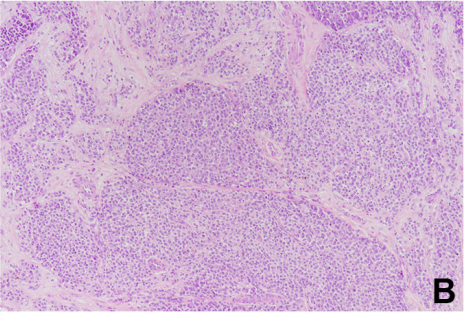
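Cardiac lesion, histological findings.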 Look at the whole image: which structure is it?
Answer: Fibrous separation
